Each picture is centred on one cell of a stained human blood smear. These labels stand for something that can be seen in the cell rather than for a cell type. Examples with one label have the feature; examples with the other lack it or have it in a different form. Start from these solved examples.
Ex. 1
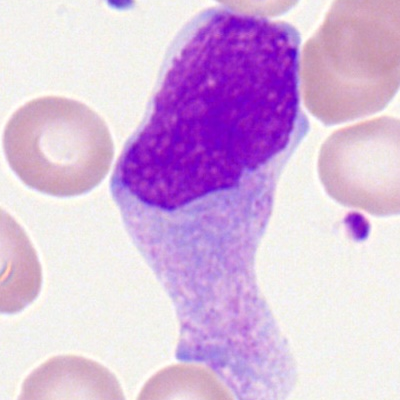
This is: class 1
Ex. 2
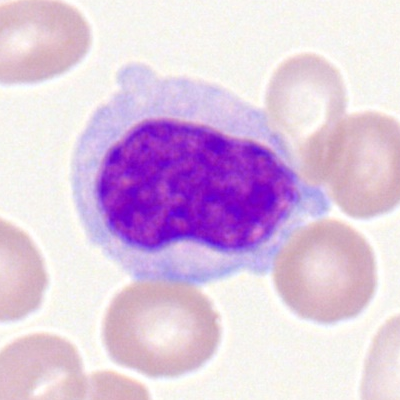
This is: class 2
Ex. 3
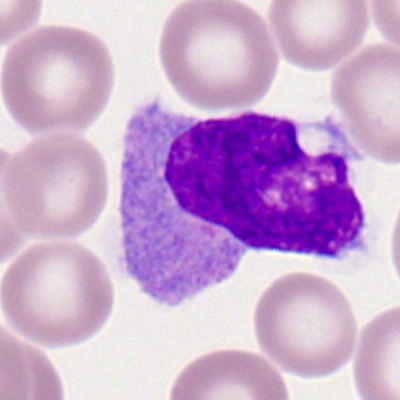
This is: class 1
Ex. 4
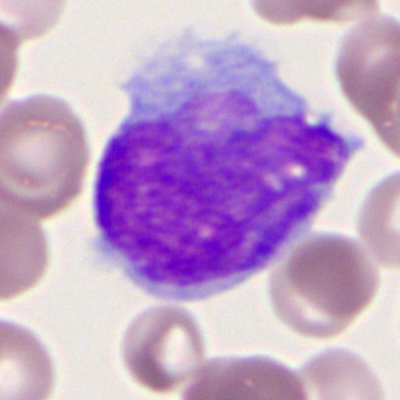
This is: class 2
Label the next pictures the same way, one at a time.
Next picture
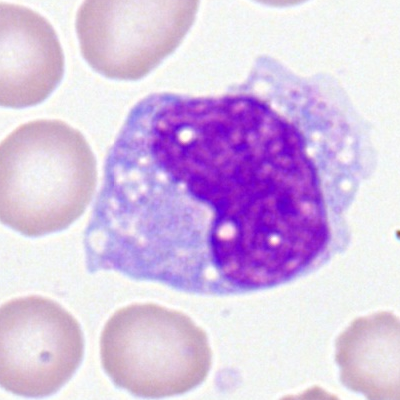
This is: class 1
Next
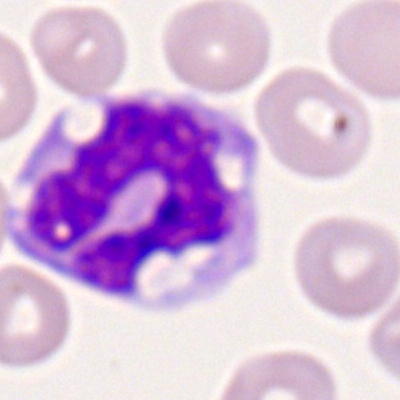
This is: class 2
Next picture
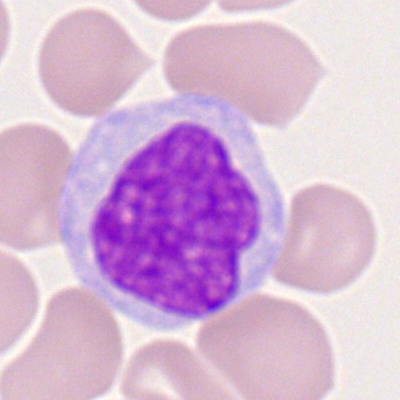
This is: class 2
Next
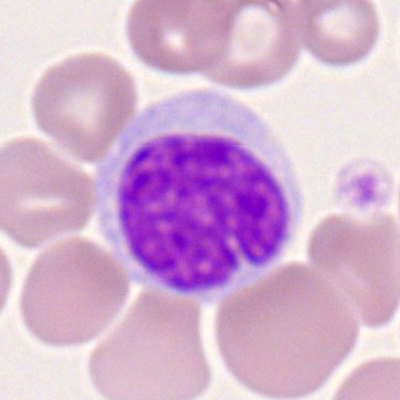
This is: class 2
